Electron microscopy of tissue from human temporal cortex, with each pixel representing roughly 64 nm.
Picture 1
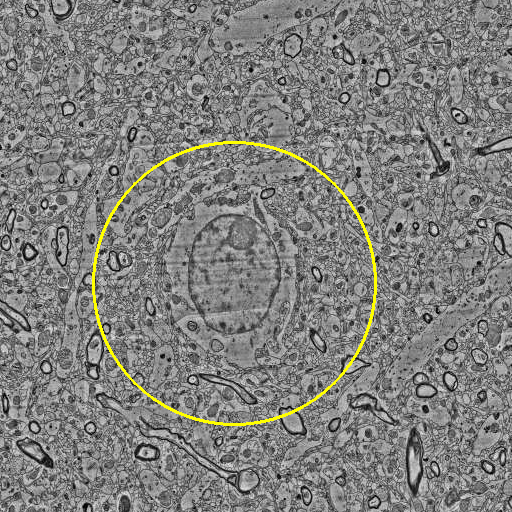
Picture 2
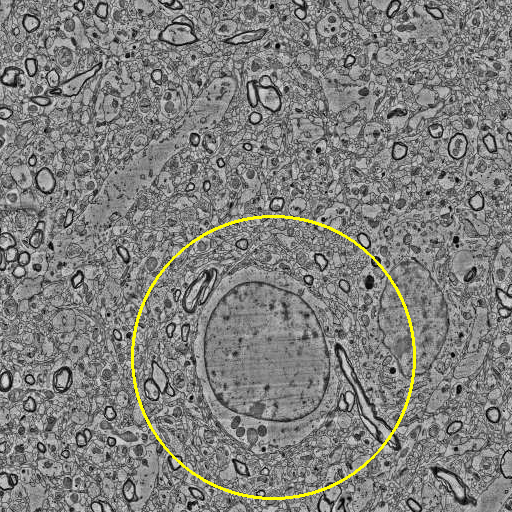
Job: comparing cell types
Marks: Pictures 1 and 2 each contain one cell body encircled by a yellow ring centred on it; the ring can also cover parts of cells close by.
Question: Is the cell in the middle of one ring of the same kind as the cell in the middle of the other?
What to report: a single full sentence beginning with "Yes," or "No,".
Yes, the cell at the ring centre in Picture 1 and its partner in Picture 2 are of one kind.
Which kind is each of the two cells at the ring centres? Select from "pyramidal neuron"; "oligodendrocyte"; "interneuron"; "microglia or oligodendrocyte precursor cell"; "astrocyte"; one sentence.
The second cell is an astrocyte, just as the first is.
